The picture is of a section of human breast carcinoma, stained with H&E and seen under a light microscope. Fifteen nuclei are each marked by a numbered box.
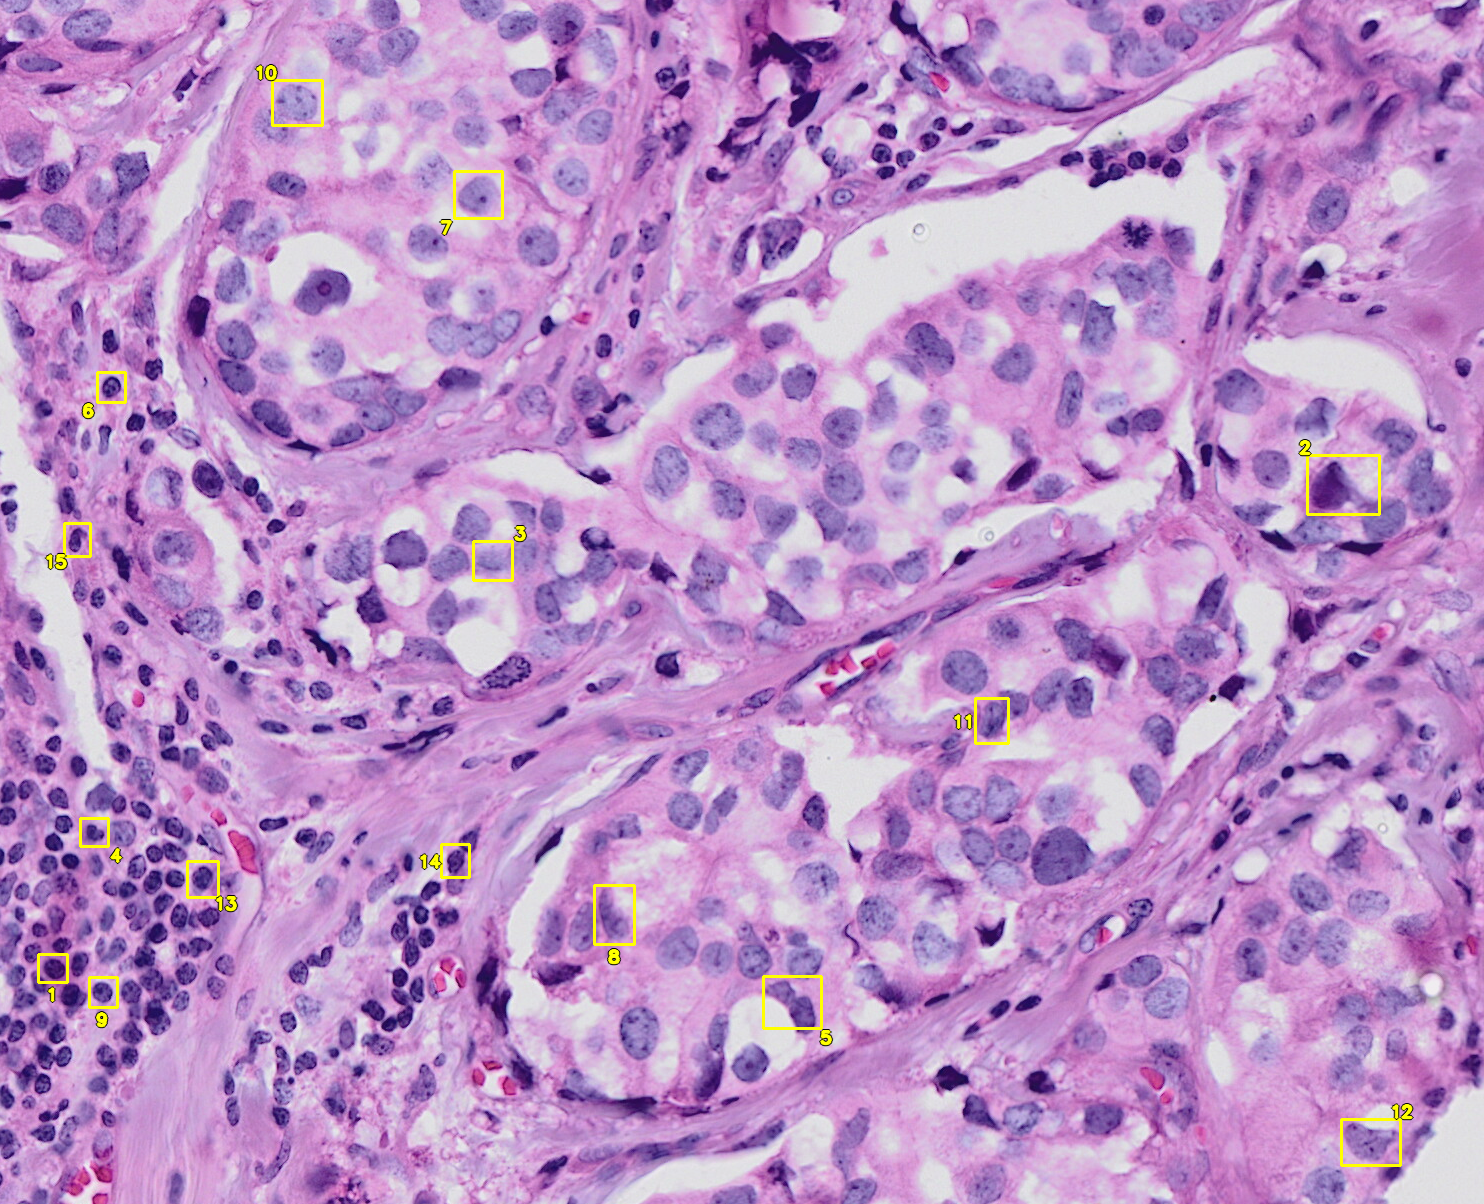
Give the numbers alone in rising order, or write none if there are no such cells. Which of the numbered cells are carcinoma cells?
2, 3, 5, 7, 8, 10, 11, 12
